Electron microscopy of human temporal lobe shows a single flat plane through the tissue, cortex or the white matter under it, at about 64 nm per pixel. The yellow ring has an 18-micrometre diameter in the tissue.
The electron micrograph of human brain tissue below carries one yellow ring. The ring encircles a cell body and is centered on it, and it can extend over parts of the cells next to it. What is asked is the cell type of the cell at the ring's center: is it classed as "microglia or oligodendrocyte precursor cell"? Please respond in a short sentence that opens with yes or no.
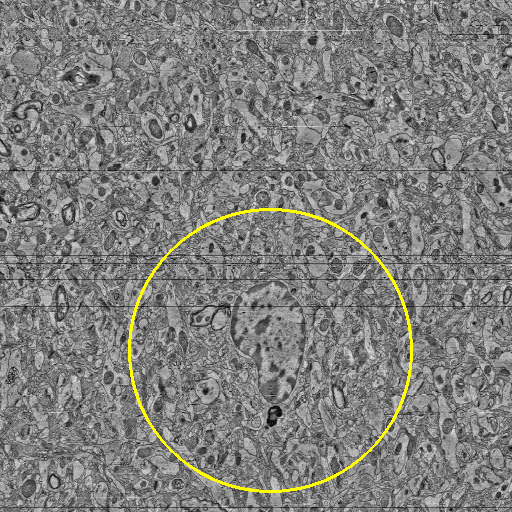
Yes, it is classed that way.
